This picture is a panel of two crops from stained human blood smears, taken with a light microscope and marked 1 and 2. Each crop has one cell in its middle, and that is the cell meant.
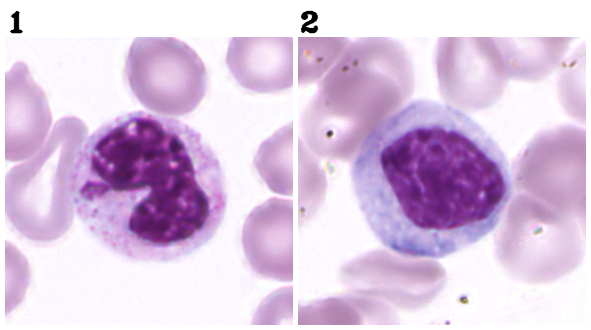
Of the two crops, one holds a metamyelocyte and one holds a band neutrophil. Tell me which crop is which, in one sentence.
While crop 1 is a band neutrophil, crop 2 is a metamyelocyte.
